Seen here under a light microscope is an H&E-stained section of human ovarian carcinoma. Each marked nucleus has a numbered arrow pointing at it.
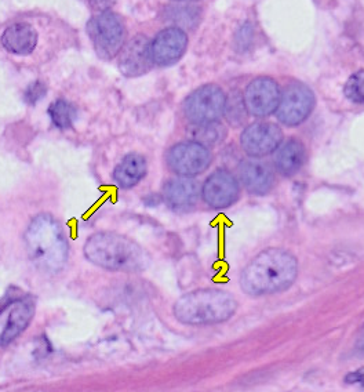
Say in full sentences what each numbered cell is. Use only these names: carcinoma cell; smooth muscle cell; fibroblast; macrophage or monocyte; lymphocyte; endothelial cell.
Cell 1 is a macrophage or monocyte. Cell 2 is a carcinoma cell.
